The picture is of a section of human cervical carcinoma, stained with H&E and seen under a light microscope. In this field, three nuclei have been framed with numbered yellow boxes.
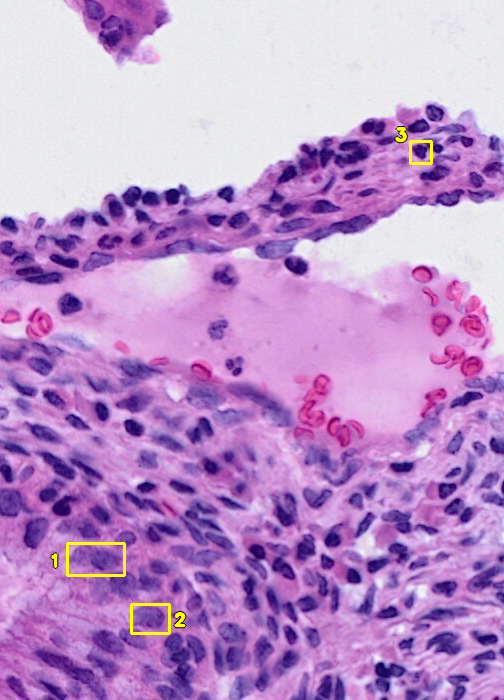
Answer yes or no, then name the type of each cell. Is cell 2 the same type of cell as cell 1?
Yes, as for cells 2 and 1, both are secretory epithelial cells.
